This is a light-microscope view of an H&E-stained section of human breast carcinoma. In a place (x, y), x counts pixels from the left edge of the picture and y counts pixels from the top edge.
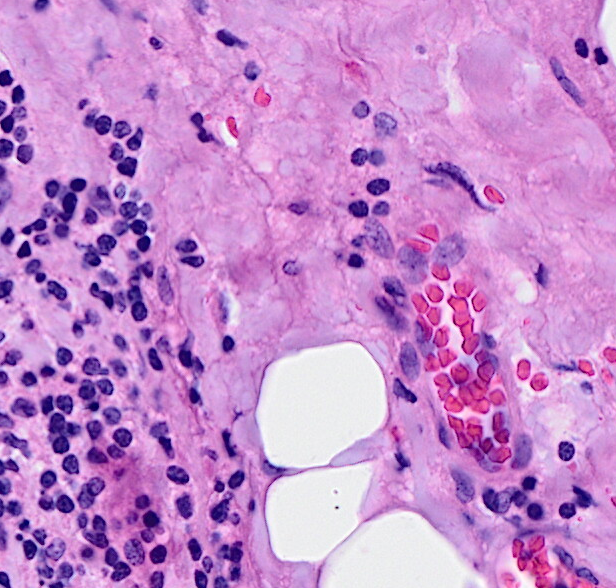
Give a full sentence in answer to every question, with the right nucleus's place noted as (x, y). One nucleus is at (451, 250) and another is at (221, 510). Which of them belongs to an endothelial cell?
Identified as belonging to an endothelial cell is the nucleus at (451, 250).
